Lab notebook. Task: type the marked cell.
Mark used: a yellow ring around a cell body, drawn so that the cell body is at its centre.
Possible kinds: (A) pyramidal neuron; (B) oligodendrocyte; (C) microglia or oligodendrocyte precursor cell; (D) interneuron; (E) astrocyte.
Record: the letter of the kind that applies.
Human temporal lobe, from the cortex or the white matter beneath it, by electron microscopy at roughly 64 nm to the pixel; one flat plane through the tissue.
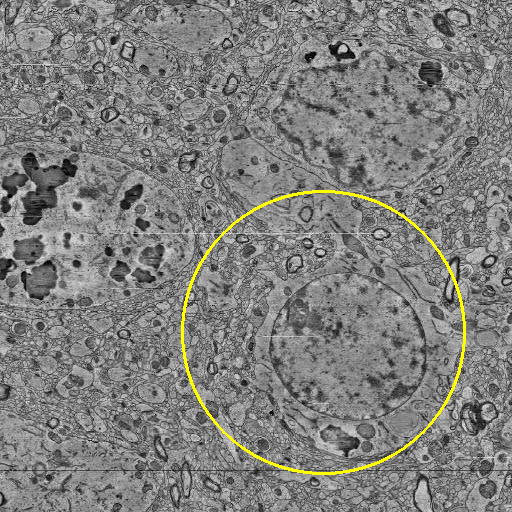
E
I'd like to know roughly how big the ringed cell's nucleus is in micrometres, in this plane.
About 10 micrometres across in this plane.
